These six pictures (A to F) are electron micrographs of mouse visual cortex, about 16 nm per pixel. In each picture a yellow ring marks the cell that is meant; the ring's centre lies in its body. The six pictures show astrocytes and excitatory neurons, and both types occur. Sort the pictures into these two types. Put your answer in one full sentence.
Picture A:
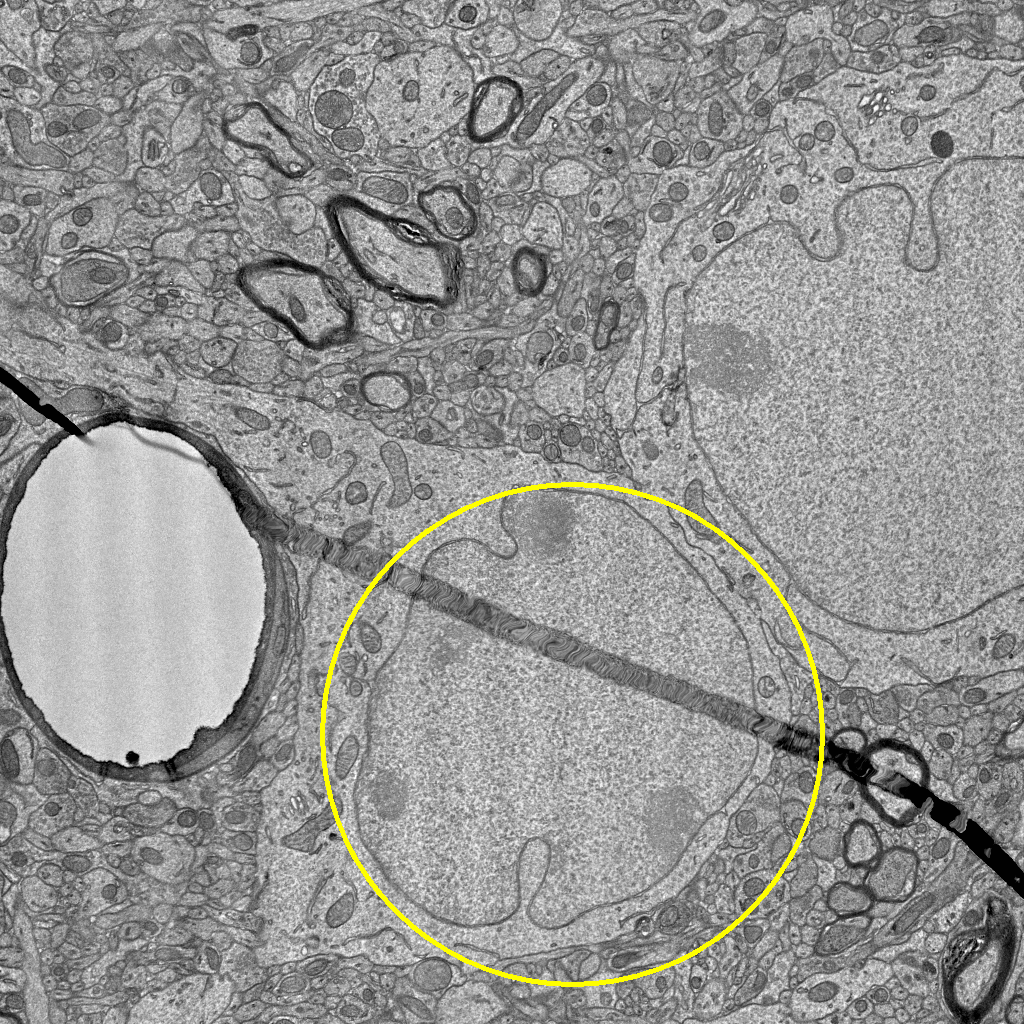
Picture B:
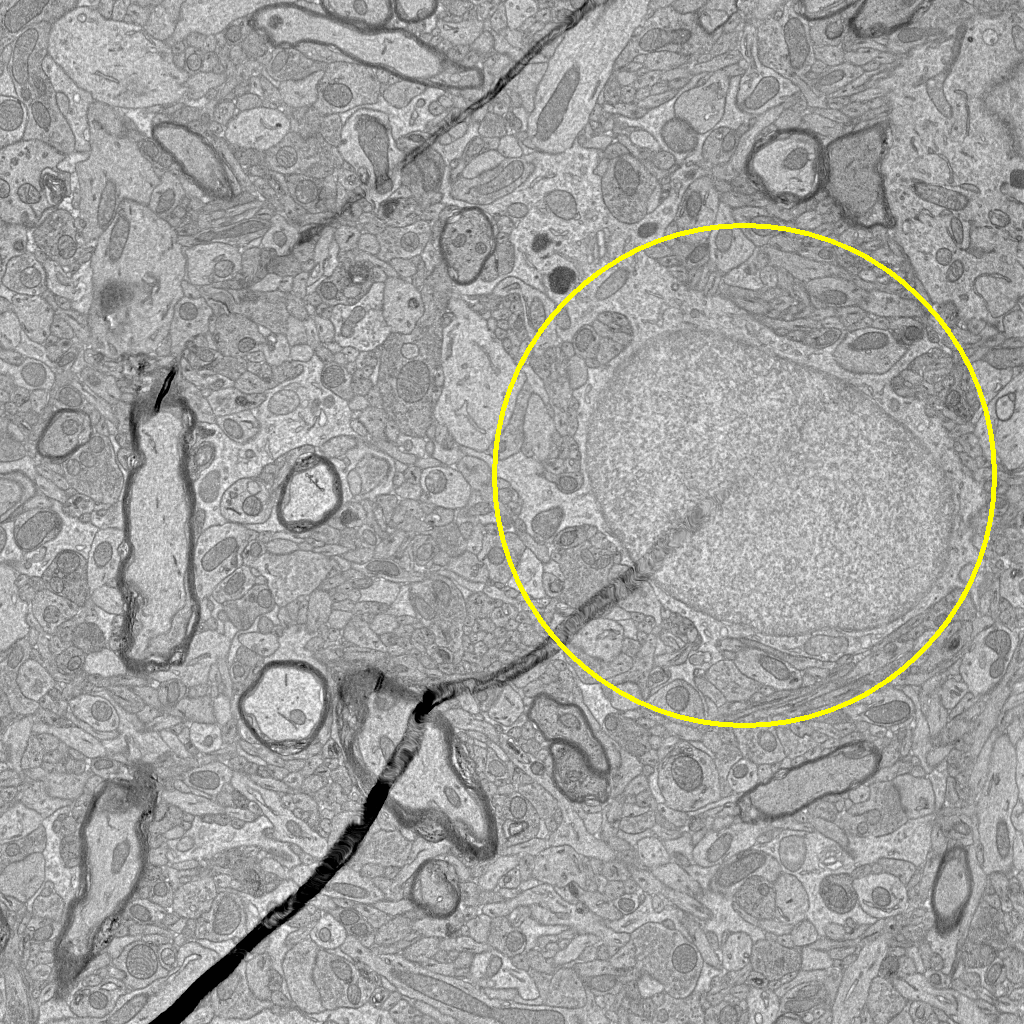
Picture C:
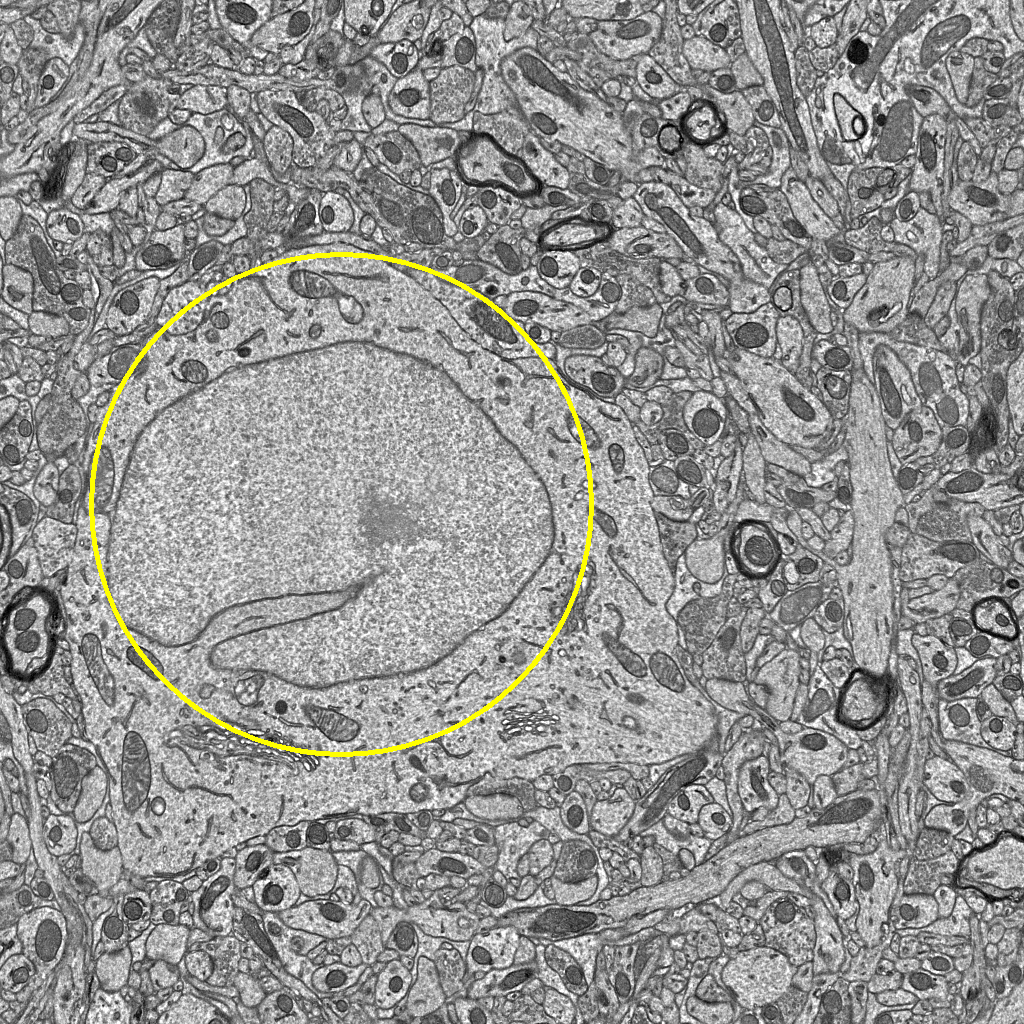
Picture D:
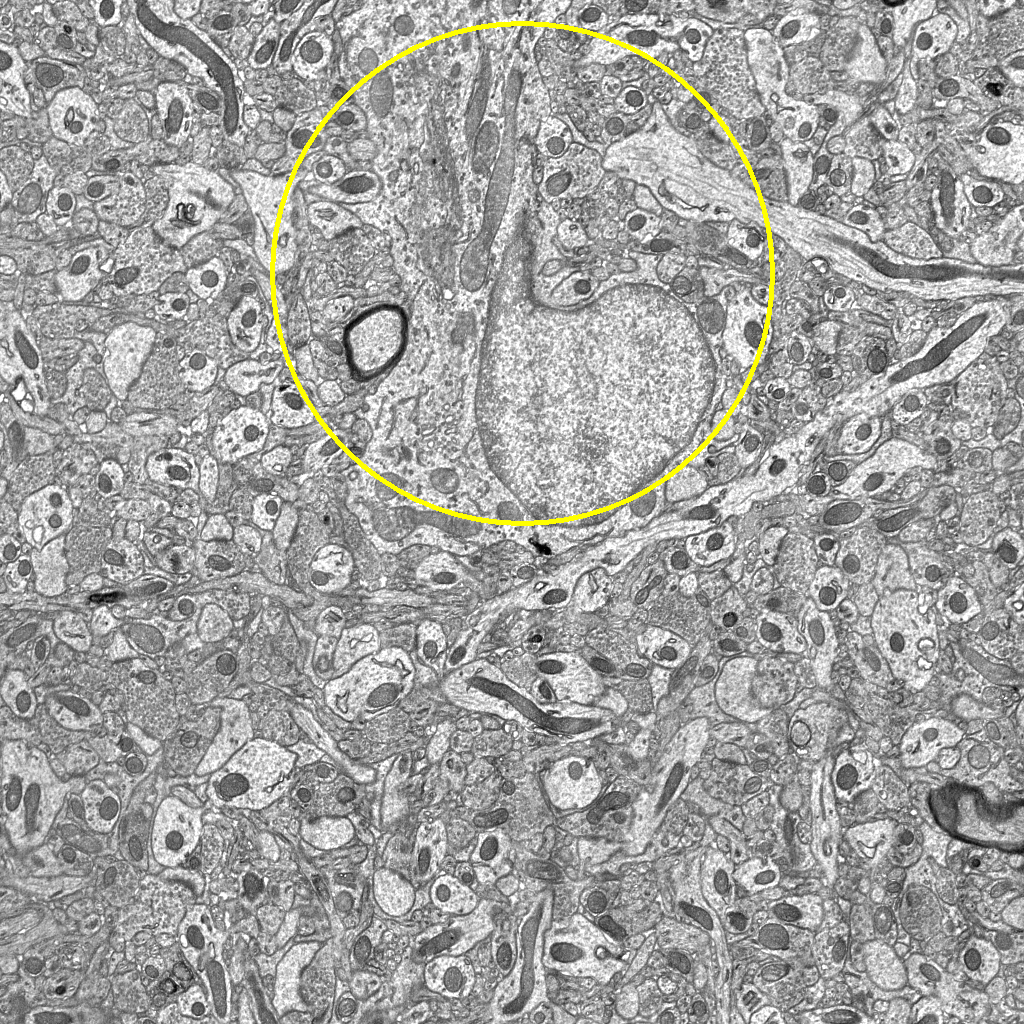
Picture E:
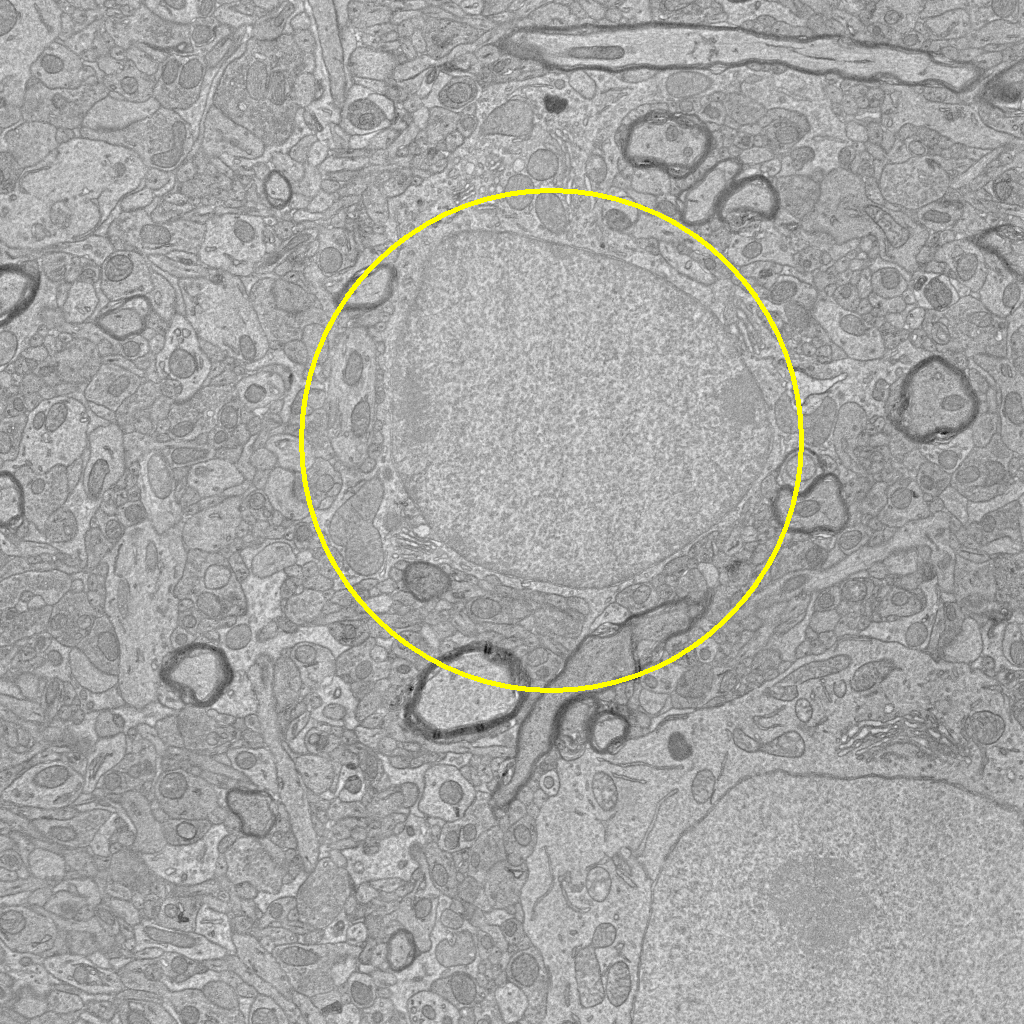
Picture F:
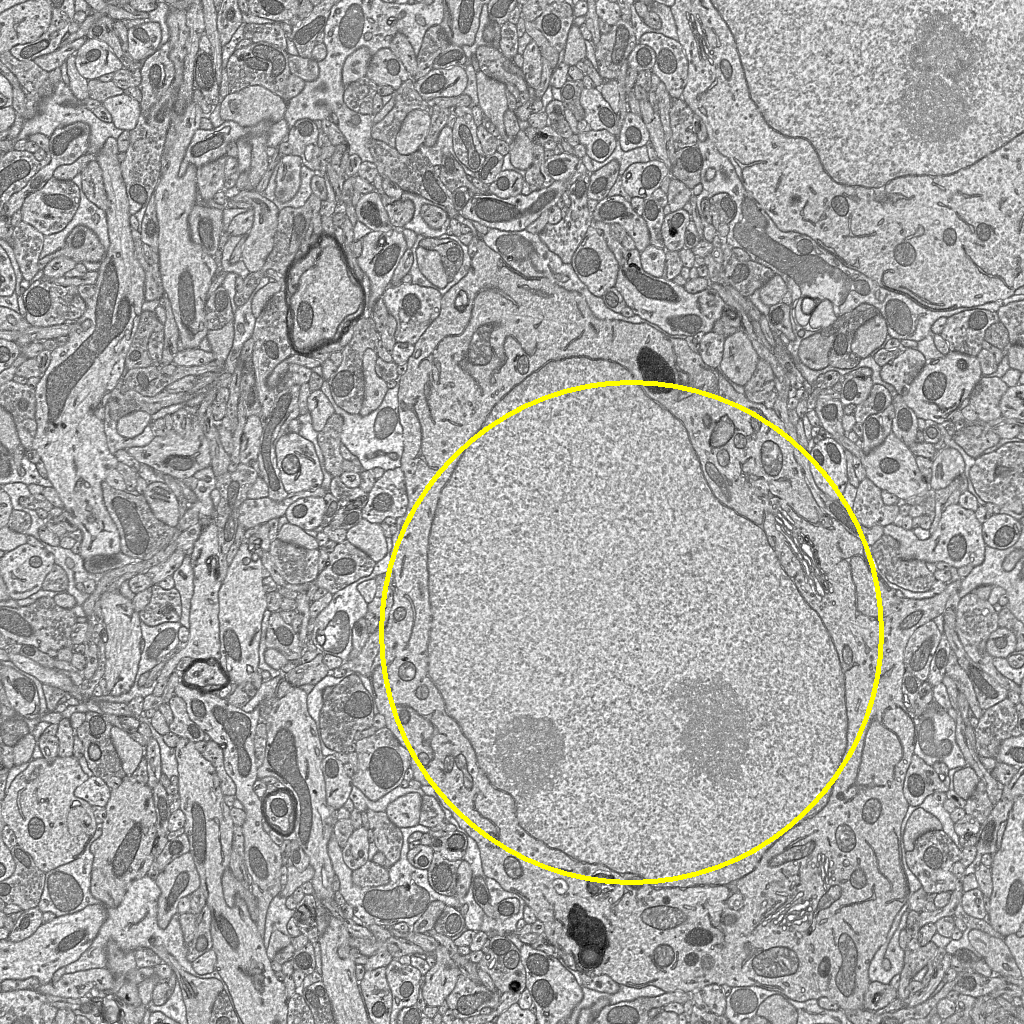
Pictures B, D and E show astrocytes, while pictures A, C and F show excitatory neurons.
